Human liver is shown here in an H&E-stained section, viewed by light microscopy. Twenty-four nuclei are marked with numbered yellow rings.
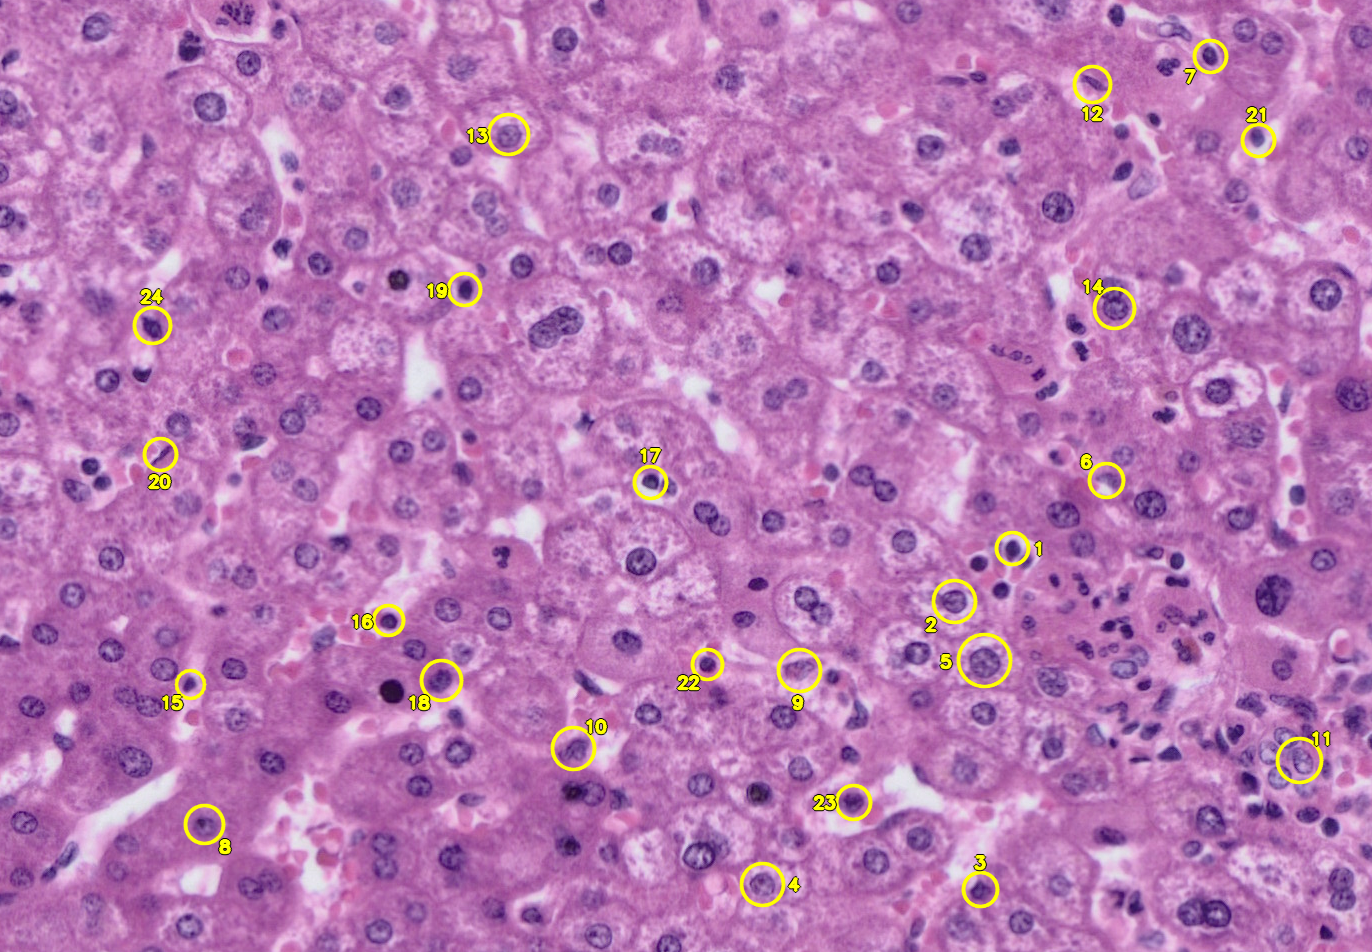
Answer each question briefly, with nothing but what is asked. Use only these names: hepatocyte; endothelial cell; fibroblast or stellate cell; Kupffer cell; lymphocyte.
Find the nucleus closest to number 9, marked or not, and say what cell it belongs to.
lymphocyte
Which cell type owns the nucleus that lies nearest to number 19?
fibroblast or stellate cell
